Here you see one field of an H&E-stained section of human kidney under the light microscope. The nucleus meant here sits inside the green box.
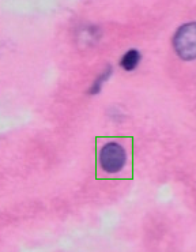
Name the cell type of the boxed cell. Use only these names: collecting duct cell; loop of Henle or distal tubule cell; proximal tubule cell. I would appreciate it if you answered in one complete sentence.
In this field of tissue, the boxed cell is a proximal tubule cell.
